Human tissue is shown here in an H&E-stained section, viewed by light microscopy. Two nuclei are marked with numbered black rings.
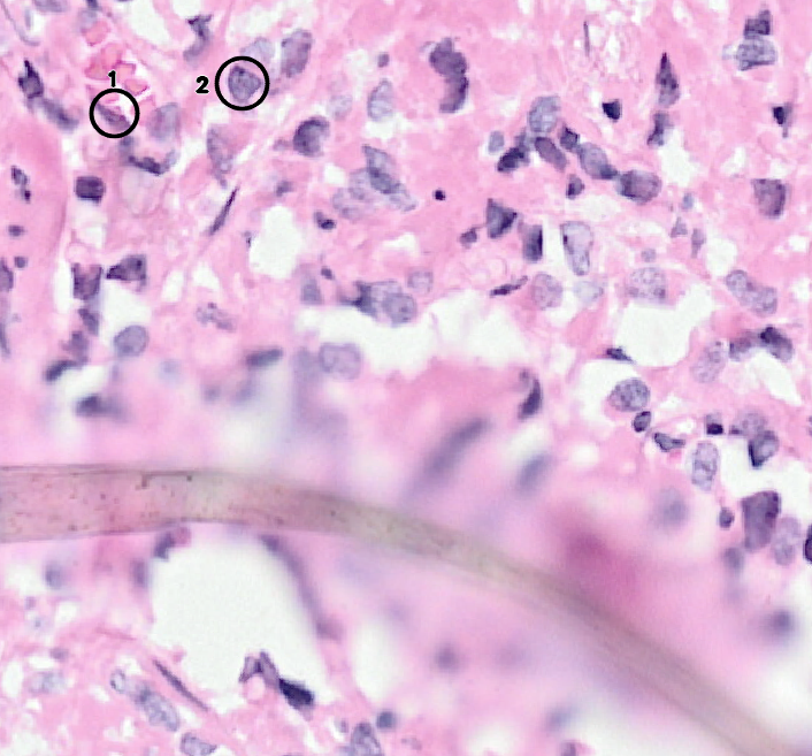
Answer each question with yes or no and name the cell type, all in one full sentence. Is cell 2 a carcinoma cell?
Yes, within this section, cell number 2 is a carcinoma cell.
